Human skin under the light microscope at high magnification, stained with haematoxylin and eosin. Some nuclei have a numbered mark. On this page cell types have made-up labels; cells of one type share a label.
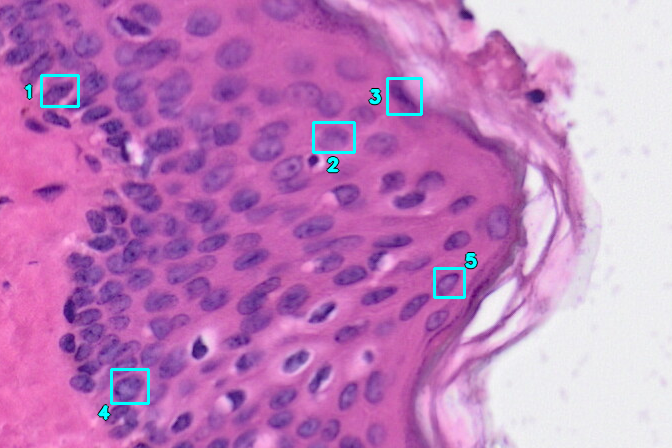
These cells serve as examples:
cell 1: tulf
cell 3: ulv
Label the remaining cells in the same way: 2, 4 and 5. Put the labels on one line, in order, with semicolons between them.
ulv; tulf; ulv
